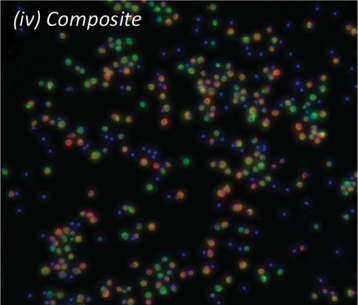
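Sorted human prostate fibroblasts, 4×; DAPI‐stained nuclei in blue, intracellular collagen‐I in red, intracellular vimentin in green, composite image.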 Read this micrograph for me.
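Many show red and green fluorescence together, giving orange to yellow tones, while some appear mainly green or mainly red. A number of spots appear blue only, without red or green around them. The cells are unevenly scattered, denser in some patches and sparse in others, and none shows processes or an elongated outline at this low magnification.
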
